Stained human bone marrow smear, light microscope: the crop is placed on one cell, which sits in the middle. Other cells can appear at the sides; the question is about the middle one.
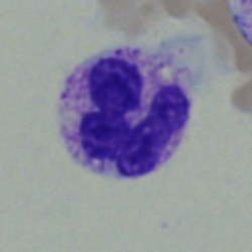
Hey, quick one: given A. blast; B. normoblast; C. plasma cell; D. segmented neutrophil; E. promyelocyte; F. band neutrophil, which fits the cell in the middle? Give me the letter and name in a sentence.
Option D stands as correct, the central cell being a segmented neutrophil.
